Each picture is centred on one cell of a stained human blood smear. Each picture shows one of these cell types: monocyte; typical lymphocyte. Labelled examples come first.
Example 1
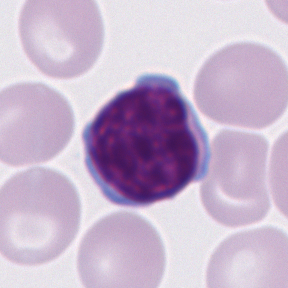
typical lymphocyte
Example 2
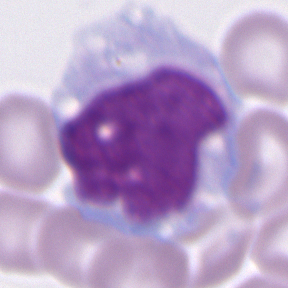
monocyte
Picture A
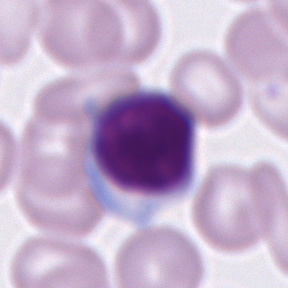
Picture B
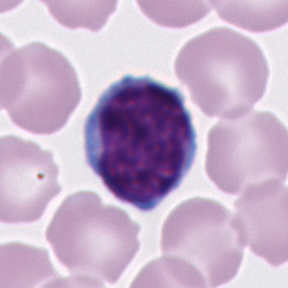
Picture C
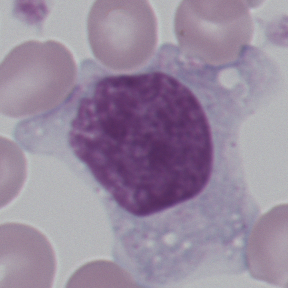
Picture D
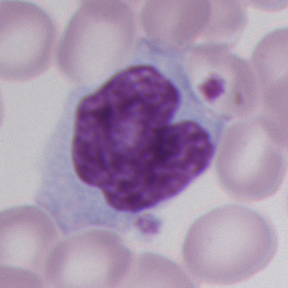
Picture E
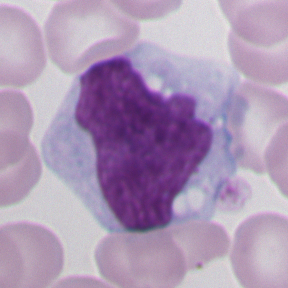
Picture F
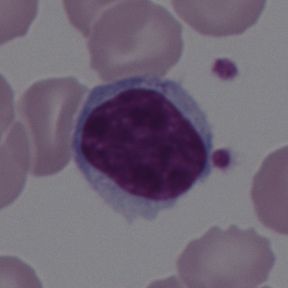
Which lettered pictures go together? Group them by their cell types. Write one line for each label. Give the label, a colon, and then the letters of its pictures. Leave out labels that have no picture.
monocyte: C, D, E
typical lymphocyte: A, B, F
